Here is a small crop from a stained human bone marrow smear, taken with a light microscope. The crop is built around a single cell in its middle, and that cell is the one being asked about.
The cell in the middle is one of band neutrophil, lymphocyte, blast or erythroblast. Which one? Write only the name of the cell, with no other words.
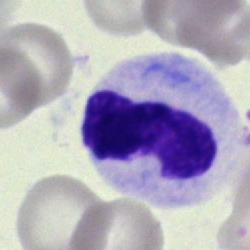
band neutrophil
